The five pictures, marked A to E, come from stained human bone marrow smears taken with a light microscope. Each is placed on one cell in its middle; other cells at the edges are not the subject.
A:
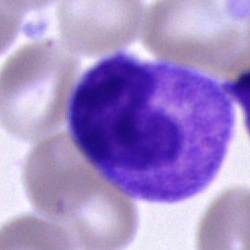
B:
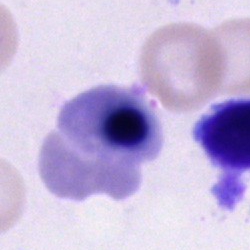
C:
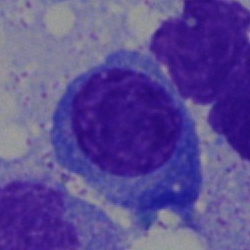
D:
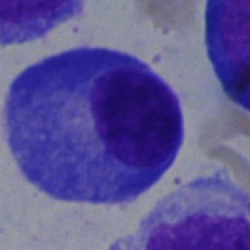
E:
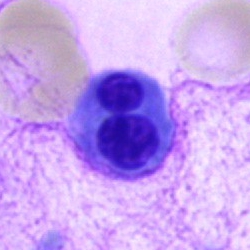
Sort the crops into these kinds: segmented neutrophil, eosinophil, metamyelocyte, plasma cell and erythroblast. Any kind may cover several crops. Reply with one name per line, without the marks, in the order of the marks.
metamyelocyte
erythroblast
plasma cell
plasma cell
erythroblast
